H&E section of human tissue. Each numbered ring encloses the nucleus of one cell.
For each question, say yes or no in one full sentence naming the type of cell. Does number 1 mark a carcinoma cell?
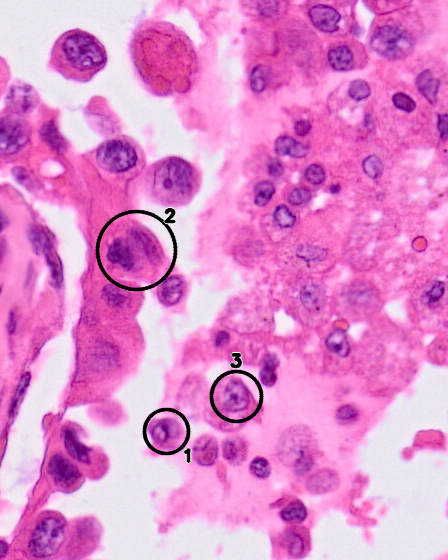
No, the cell carrying number 1 is a macrophage or monocyte rather than a carcinoma cell.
